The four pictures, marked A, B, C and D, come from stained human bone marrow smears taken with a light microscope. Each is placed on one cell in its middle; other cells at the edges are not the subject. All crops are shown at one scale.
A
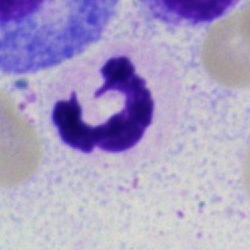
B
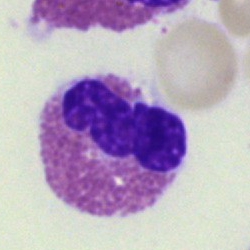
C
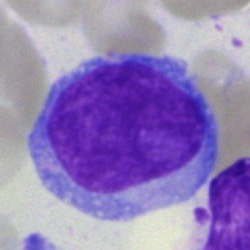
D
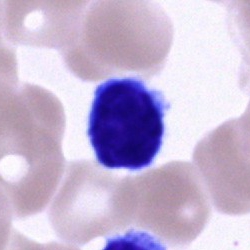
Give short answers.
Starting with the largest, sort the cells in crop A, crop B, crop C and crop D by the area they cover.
C, B, A, D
